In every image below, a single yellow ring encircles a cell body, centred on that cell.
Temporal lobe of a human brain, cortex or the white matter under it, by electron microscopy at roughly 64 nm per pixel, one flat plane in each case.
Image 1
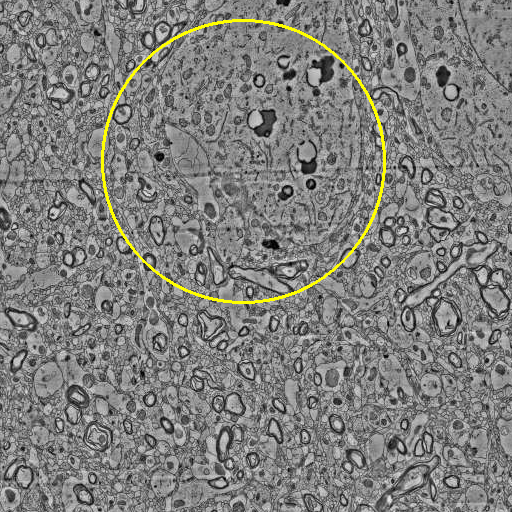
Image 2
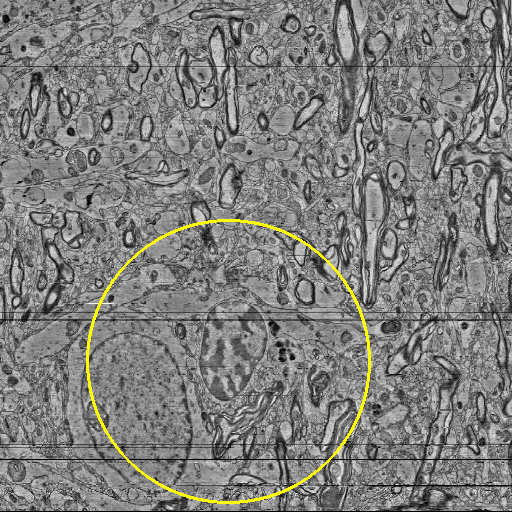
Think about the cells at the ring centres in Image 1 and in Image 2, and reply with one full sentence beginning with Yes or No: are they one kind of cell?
Yes, the cells centred in the rings of Image 1 and Image 2 are one kind of cell.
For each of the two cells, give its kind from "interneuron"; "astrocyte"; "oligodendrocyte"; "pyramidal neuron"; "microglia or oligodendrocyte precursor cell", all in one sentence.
Both cells are the same kind, each one being a microglial cell or oligodendrocyte precursor cell.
